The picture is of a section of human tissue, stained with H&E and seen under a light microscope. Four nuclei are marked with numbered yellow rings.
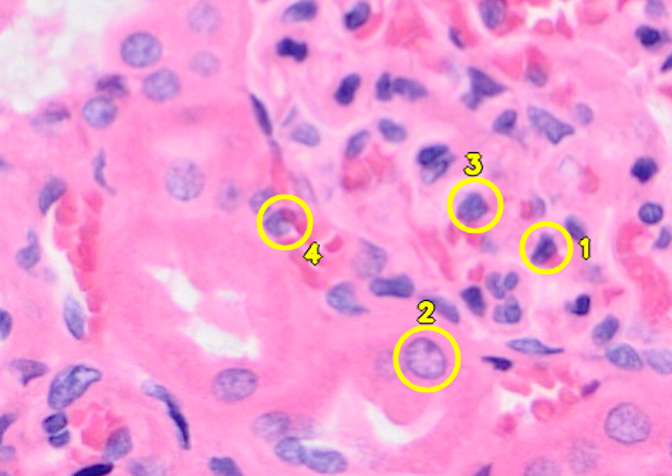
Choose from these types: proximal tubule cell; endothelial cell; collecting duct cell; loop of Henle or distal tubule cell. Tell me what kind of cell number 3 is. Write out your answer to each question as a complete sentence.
The identity of cell 3 is that of an endothelial cell.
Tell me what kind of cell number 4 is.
The marked cell bearing number 4 is an endothelial cell.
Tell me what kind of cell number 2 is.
The numeral 2 marks a proximal tubule cell in this section.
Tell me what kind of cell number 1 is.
The cell that is numbered 1 is an endothelial cell.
